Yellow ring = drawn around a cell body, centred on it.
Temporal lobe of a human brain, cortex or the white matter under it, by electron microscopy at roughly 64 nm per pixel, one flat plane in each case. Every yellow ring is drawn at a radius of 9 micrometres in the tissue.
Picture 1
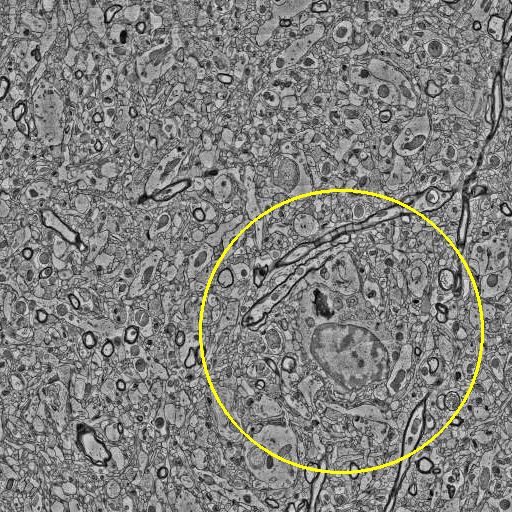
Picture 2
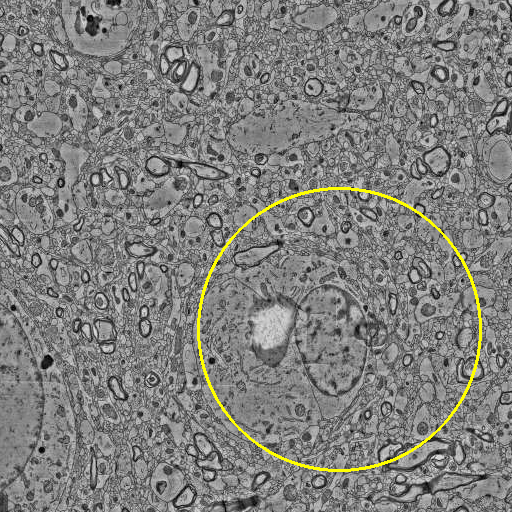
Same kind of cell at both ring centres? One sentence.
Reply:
No, they are two kinds of cell.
